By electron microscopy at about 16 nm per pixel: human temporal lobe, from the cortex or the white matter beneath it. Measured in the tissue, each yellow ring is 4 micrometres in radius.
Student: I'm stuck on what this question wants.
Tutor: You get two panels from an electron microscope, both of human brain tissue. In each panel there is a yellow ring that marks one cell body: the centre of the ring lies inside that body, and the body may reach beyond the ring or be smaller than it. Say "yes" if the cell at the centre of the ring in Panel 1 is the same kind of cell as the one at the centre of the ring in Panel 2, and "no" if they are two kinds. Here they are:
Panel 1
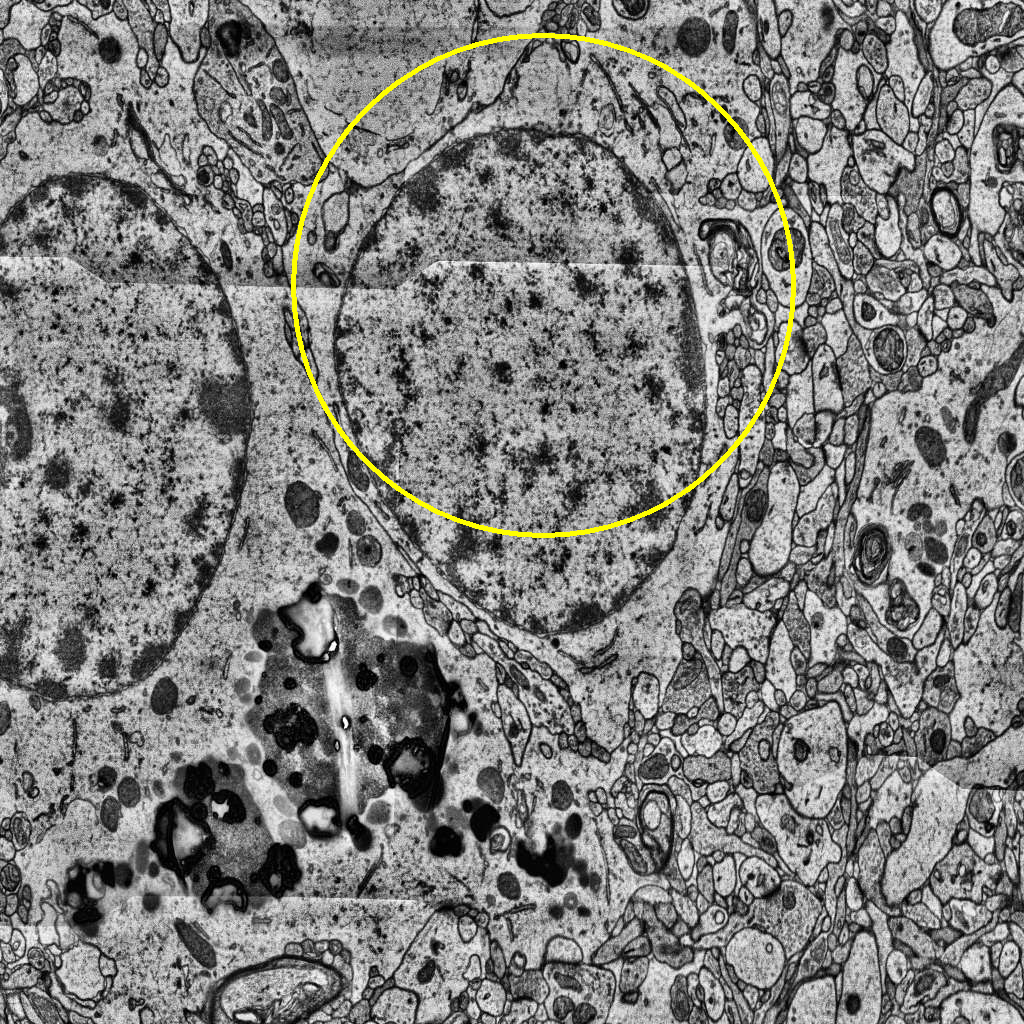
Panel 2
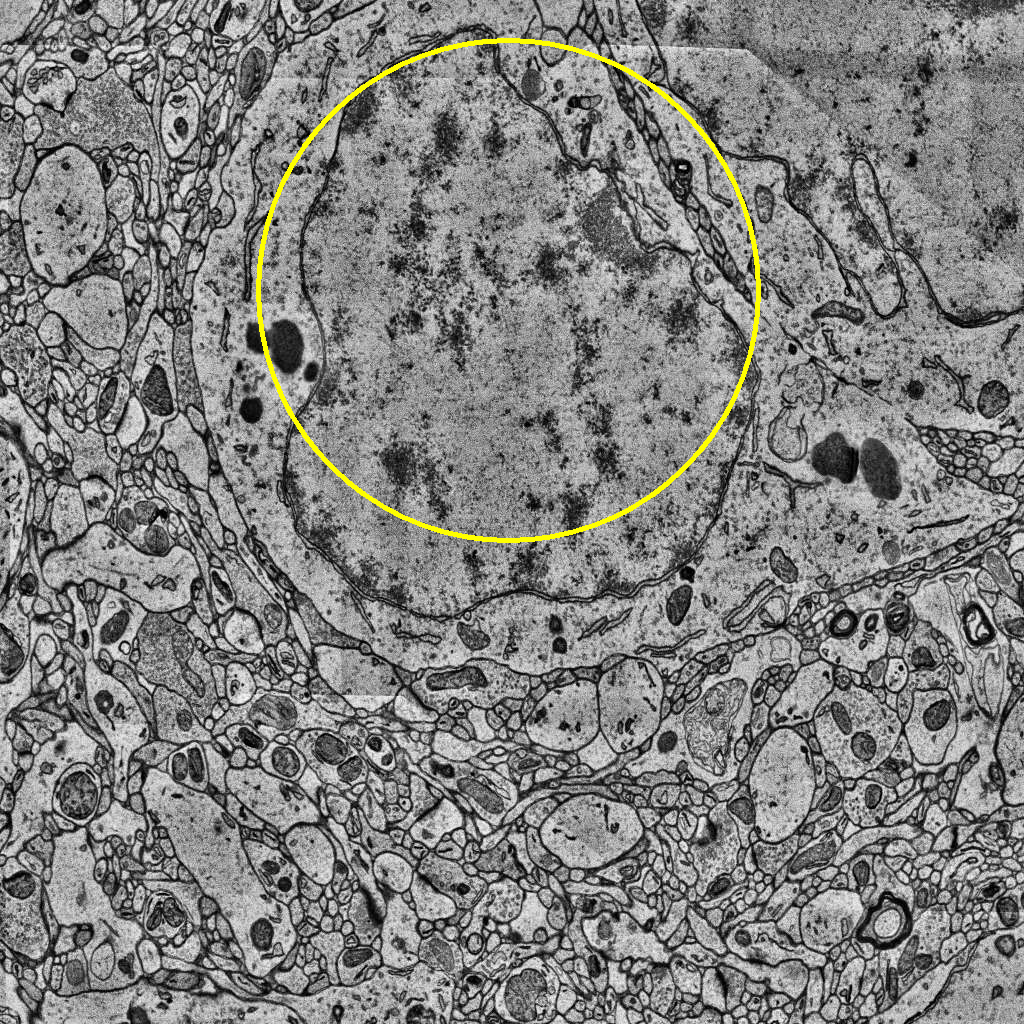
no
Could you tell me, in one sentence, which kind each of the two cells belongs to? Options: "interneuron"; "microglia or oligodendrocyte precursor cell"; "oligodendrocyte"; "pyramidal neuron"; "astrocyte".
The second cell is an interneuron, and the first cell is an astrocyte.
